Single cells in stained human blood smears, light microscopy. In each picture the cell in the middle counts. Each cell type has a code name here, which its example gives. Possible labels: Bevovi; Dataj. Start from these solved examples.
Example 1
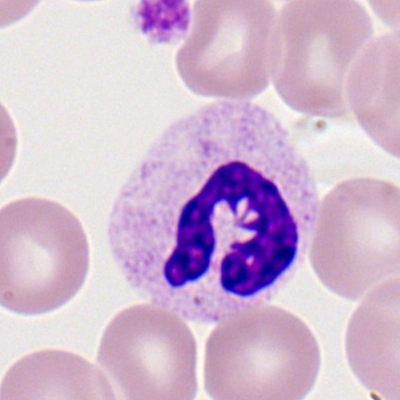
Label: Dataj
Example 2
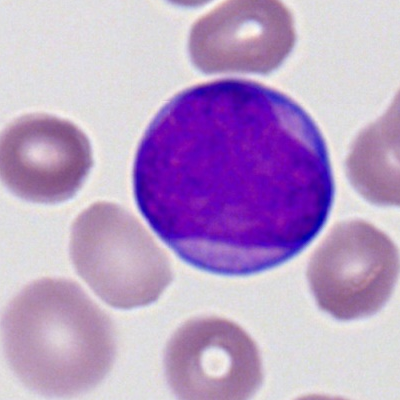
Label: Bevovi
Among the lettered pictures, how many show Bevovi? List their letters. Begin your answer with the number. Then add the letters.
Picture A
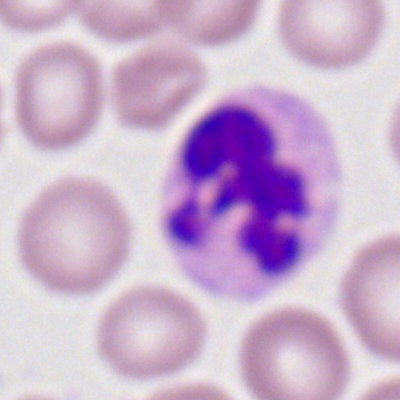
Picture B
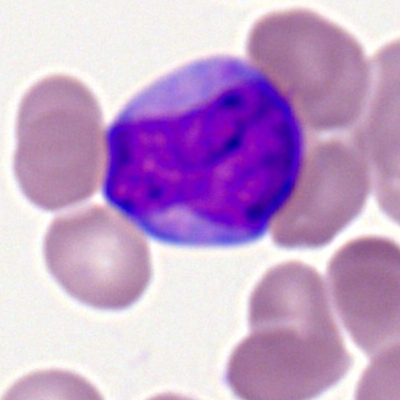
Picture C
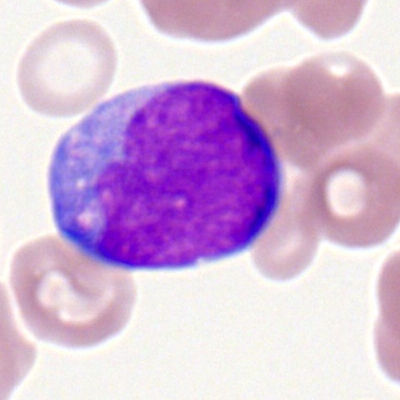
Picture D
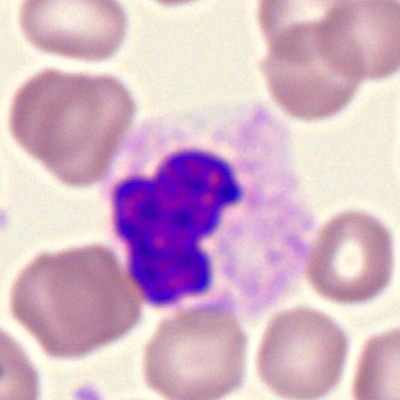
2, namely B, C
